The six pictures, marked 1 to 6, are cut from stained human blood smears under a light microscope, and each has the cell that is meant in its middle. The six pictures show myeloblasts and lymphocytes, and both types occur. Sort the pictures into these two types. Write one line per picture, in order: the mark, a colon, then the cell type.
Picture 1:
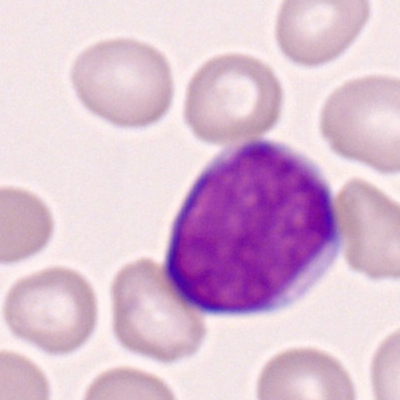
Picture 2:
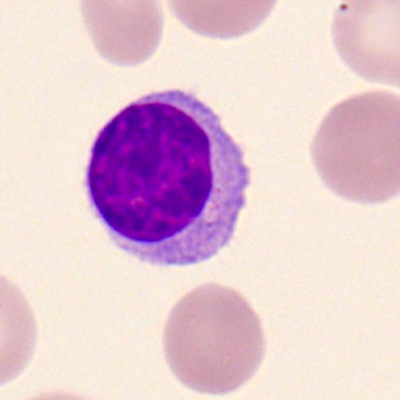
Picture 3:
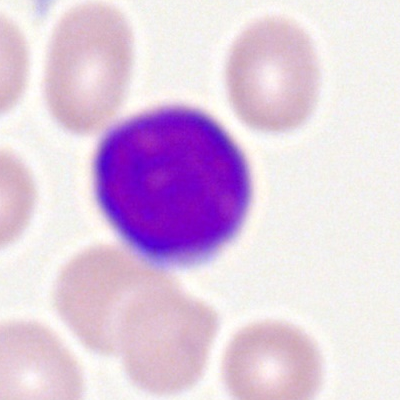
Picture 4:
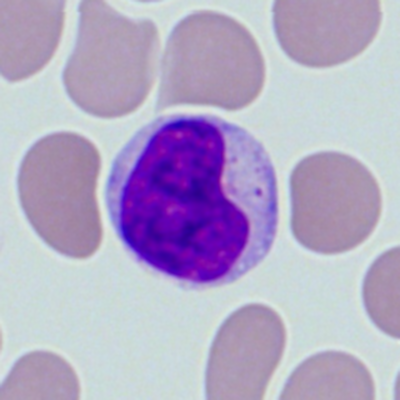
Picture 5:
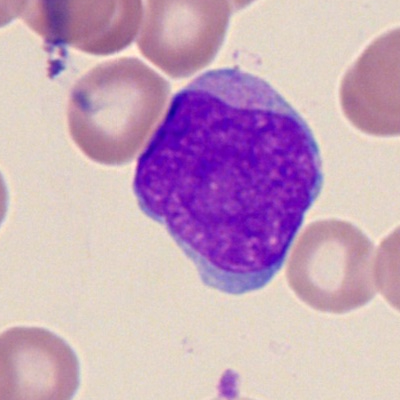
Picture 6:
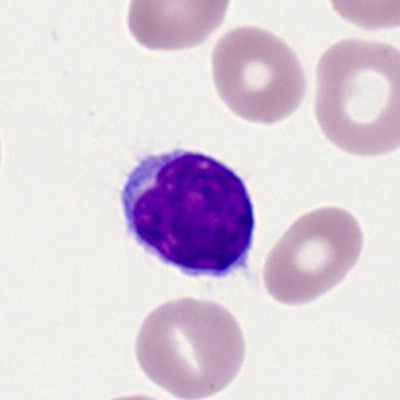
1: myeloblast
2: lymphocyte
3: myeloblast
4: lymphocyte
5: myeloblast
6: lymphocyte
